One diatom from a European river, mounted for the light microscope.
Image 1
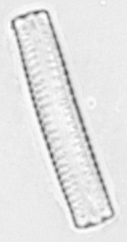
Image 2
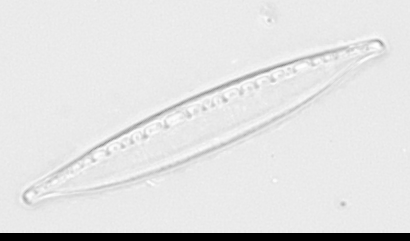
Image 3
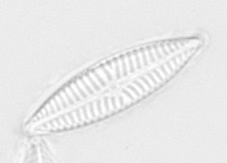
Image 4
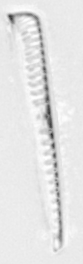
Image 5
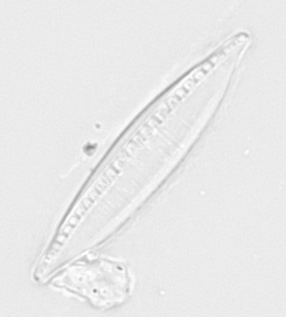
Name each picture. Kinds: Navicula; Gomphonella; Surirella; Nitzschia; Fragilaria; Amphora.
1: Fragilaria
2: Nitzschia
3: Navicula
4: Gomphonella
5: Nitzschia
